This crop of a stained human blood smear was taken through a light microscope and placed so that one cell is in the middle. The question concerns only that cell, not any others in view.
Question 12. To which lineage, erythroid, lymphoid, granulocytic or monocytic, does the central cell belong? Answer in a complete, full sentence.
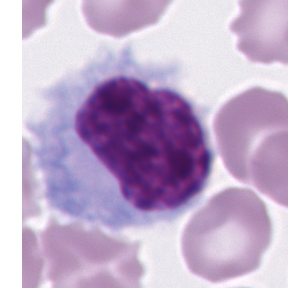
The cell occupying the middle of the crop is classified within the lymphoid lineage.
